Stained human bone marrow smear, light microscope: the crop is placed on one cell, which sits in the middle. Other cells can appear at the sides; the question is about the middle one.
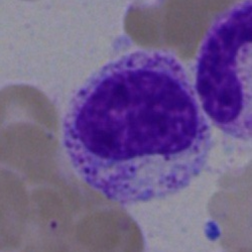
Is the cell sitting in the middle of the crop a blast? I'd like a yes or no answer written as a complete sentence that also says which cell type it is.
No, the centred cell is a myelocyte instead of a blast.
